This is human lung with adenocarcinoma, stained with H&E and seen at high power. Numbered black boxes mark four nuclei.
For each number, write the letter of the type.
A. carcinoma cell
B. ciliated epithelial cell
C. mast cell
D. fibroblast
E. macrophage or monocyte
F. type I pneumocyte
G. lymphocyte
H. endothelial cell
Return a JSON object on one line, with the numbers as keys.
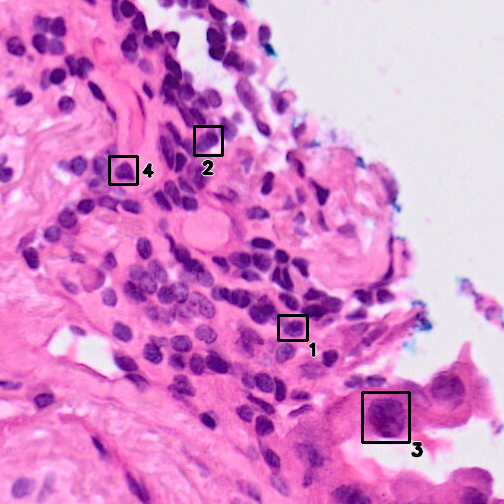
{"1": "G", "2": "G", "3": "A", "4": "G"}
